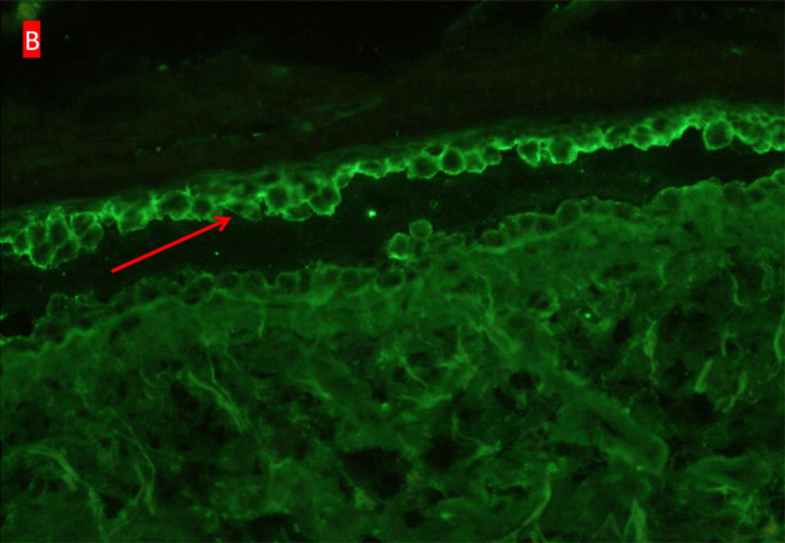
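Epidermis on a dark background in which bright green lines outline the borders of the individual epidermal cells, giving a net-like, chicken-wire pattern. The cell interiors stay dark, while the underlying dermis shows only faint, diffuse green fibrous background.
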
